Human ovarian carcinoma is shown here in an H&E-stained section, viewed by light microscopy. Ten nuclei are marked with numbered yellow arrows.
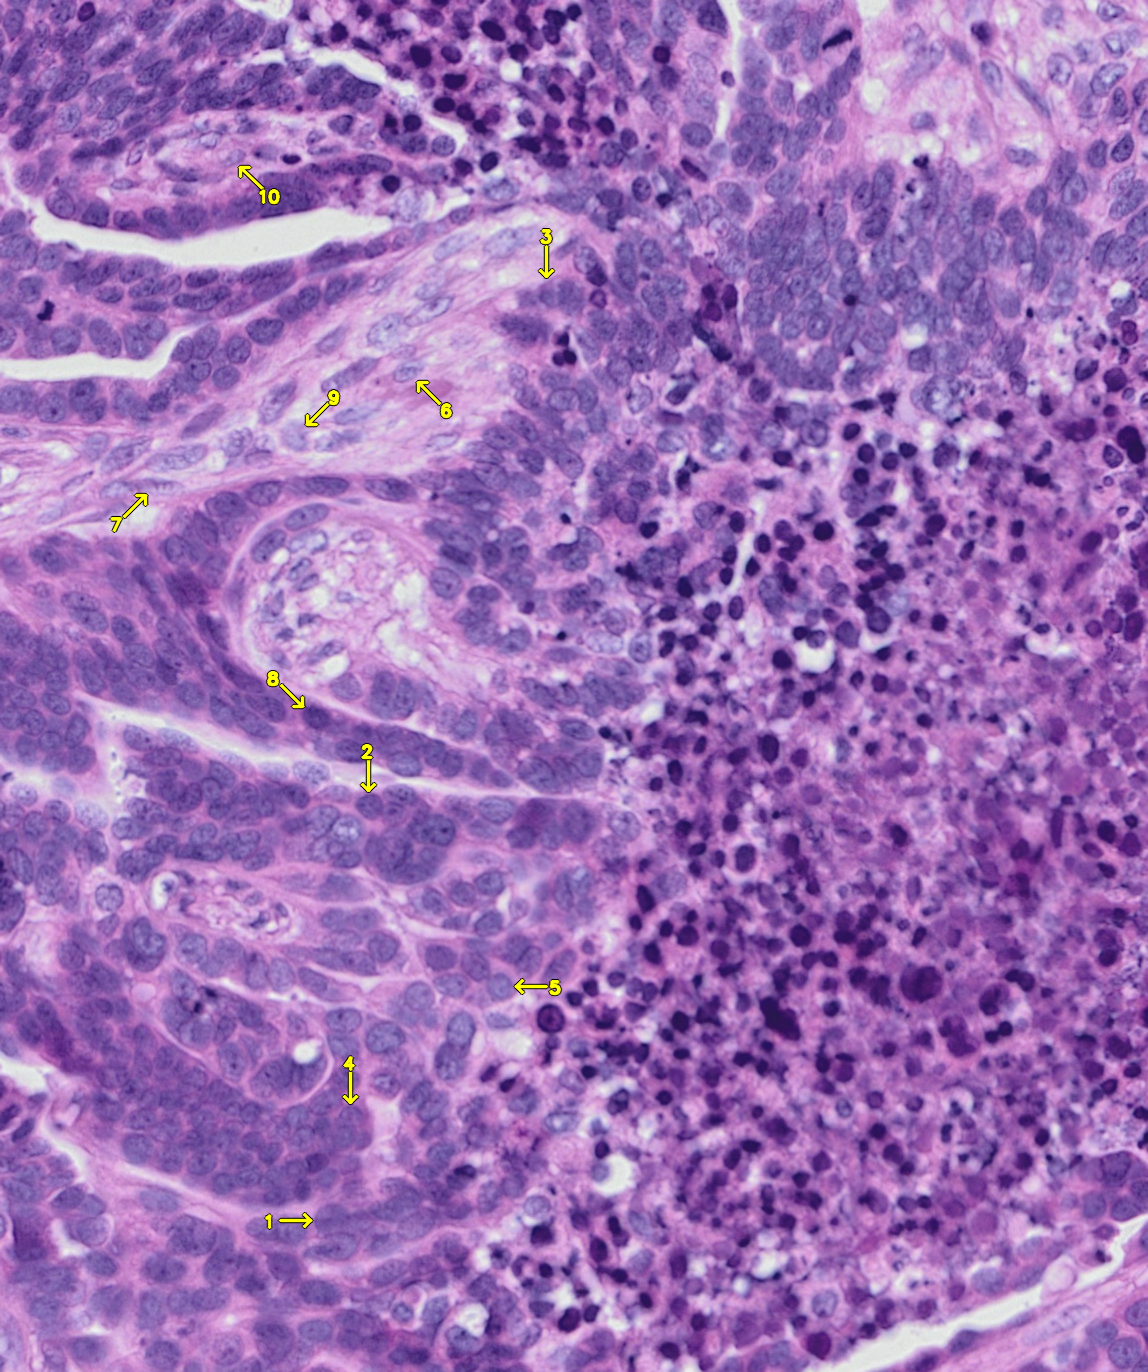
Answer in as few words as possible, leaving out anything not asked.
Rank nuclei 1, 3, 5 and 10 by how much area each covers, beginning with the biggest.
1, 5, 3, 10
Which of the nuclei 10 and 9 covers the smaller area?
10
